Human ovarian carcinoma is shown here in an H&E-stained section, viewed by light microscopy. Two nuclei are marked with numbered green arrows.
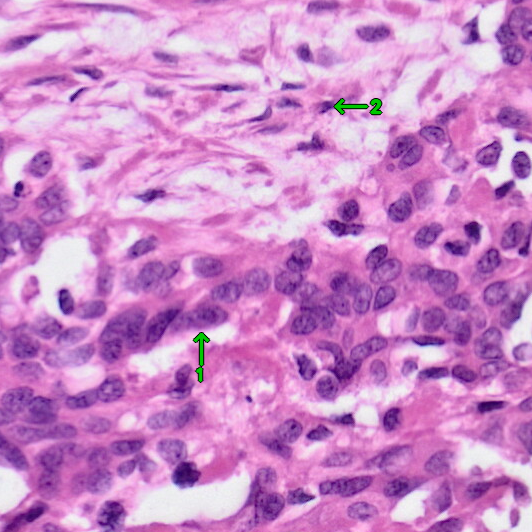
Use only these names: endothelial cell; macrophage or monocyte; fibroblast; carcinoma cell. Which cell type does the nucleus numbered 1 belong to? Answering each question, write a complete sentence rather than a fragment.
Of the numbered cells, the one labelled 1 is a carcinoma cell.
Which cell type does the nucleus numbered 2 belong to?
Denoted by the label 2 in the section is a fibroblast.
